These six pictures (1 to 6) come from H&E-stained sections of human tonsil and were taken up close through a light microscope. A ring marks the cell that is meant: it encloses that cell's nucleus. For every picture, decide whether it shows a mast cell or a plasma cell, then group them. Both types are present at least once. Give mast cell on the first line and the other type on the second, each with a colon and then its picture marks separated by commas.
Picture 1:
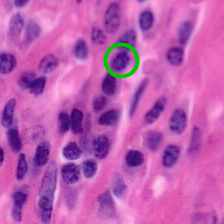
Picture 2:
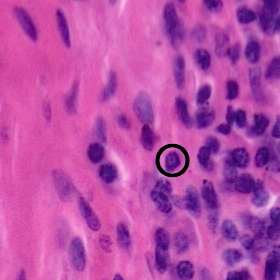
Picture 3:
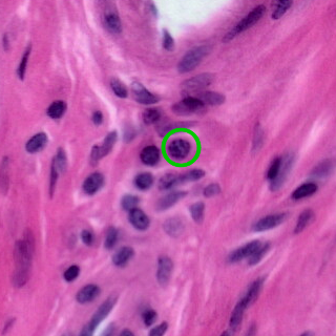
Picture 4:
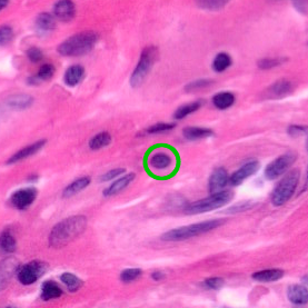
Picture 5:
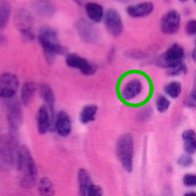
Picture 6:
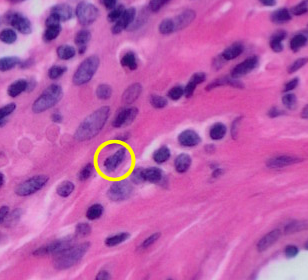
mast cell: 2, 4, 5, 6
plasma cell: 1, 3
